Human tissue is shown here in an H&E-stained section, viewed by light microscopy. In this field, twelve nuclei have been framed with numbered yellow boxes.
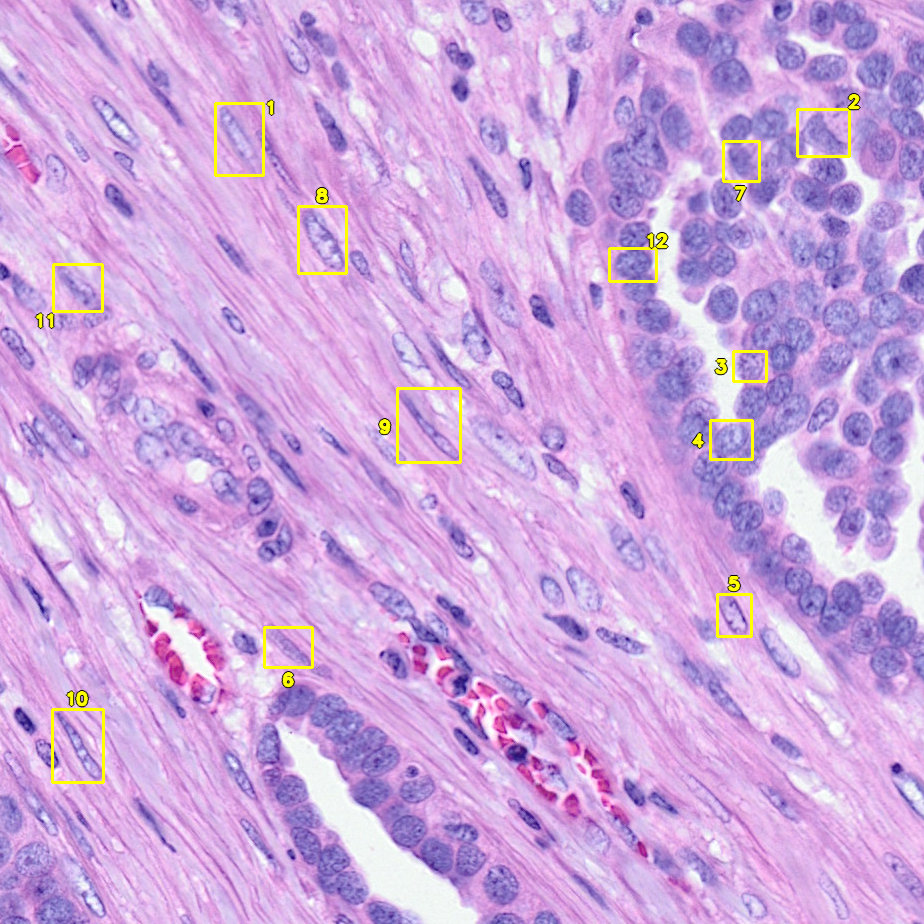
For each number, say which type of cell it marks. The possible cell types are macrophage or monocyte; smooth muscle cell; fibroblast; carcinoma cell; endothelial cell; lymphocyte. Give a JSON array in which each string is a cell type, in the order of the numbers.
["fibroblast", "carcinoma cell", "carcinoma cell", "carcinoma cell", "fibroblast", "fibroblast", "carcinoma cell", "fibroblast", "fibroblast", "fibroblast", "fibroblast", "carcinoma cell"]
